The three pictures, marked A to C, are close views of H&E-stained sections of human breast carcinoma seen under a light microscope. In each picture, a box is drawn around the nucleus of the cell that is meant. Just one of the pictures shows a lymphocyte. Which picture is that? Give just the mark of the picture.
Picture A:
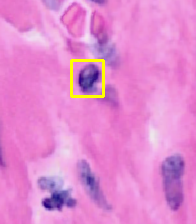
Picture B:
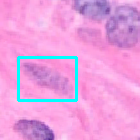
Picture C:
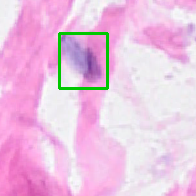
A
